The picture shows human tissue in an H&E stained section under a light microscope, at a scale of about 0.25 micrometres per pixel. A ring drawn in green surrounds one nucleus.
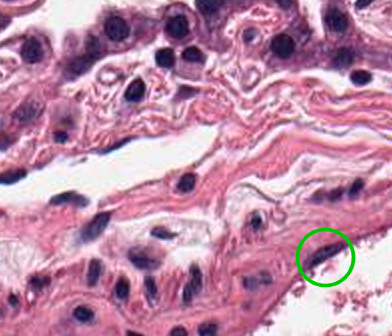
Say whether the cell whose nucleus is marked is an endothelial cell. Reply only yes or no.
yes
